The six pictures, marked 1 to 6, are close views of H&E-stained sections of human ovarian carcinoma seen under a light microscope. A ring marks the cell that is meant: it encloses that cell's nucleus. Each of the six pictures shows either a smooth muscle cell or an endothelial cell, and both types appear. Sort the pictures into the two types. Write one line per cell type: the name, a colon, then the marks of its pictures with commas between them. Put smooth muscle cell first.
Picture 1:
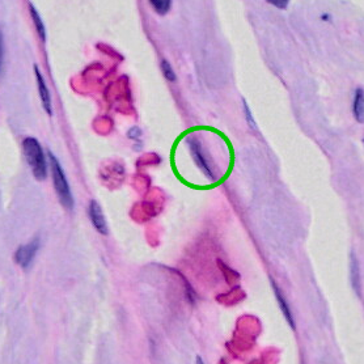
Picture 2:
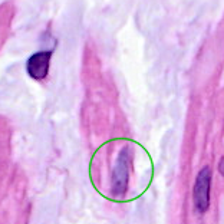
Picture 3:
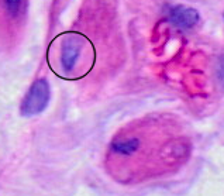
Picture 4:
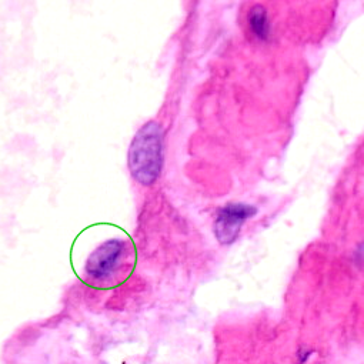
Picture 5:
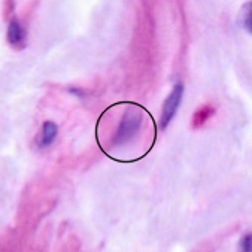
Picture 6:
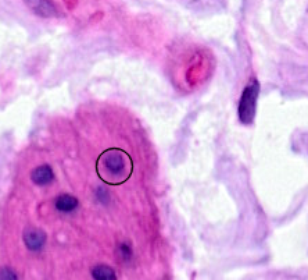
smooth muscle cell: 2, 3, 5, 6
endothelial cell: 1, 4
